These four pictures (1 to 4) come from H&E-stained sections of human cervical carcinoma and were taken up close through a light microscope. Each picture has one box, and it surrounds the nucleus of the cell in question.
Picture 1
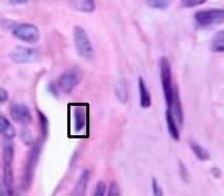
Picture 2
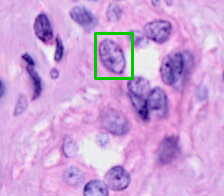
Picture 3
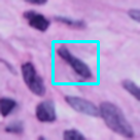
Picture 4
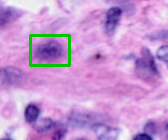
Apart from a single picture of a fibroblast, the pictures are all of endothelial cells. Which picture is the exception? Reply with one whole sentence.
Picture 3 shows the fibroblast.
